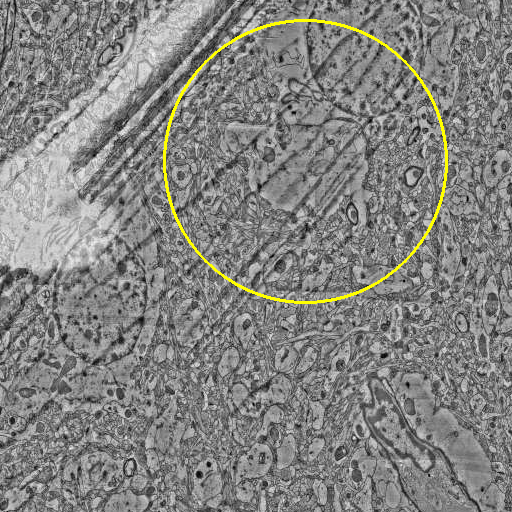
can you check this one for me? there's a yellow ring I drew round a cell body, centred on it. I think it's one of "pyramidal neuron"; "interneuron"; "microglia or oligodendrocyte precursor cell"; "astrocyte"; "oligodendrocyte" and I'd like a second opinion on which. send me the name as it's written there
astrocyte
